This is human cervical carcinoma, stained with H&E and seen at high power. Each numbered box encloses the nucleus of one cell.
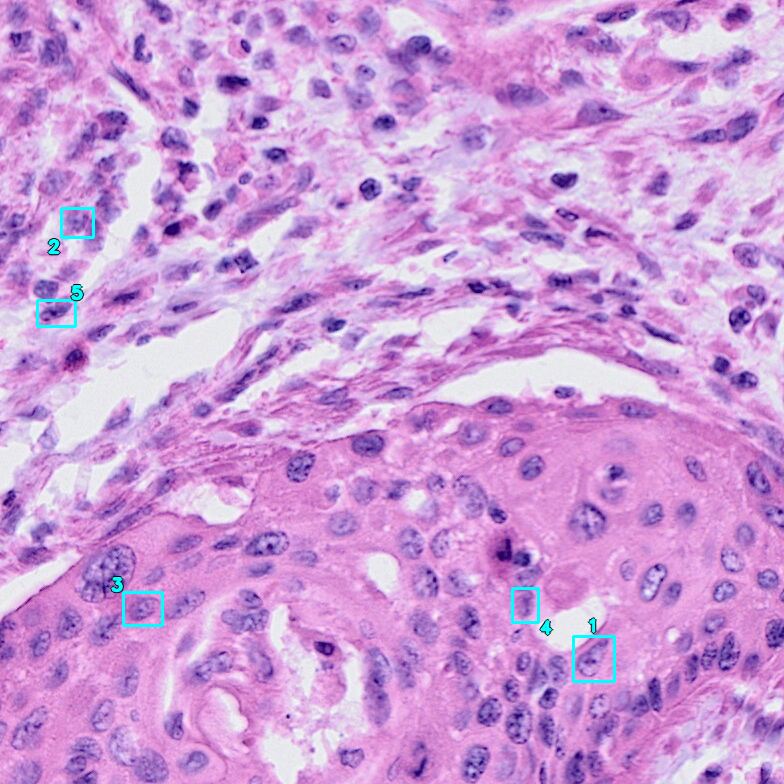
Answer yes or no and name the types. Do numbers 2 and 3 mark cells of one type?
No, hold on, cell 2 is a fibroblast and cell 3 is a squamous carcinoma cell.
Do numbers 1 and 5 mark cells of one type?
No, cell 1 here is a squamous carcinoma cell, and cell 5 here is a lymphocyte.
